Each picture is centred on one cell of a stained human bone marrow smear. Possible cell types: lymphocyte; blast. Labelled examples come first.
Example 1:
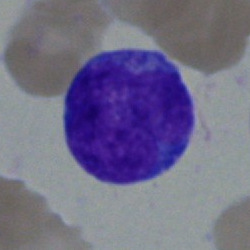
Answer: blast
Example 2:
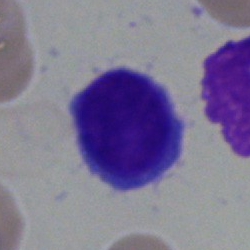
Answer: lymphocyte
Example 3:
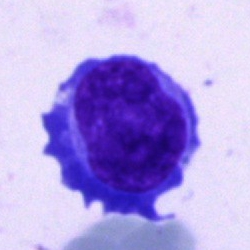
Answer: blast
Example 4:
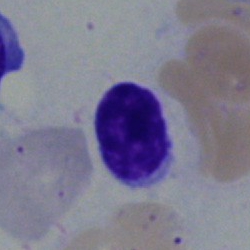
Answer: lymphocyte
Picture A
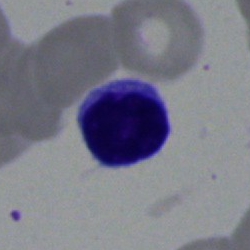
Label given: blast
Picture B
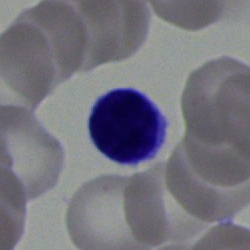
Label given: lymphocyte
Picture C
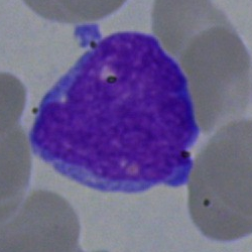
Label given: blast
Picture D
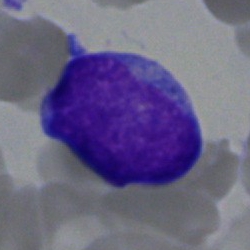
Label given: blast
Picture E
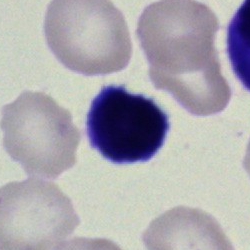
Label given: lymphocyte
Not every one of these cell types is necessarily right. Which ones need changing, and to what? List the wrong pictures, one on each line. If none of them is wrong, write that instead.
A should be lymphocyte, not blast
